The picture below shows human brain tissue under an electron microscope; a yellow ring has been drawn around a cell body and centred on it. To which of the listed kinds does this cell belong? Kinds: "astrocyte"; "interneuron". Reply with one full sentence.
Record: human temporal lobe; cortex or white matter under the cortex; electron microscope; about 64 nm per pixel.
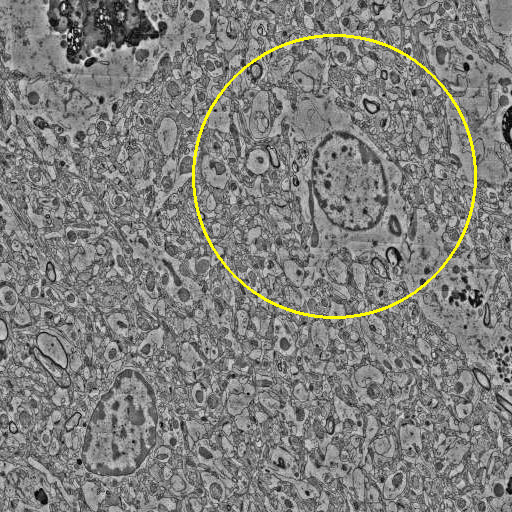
It is an astrocyte that the yellow ring in the picture is centred on.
